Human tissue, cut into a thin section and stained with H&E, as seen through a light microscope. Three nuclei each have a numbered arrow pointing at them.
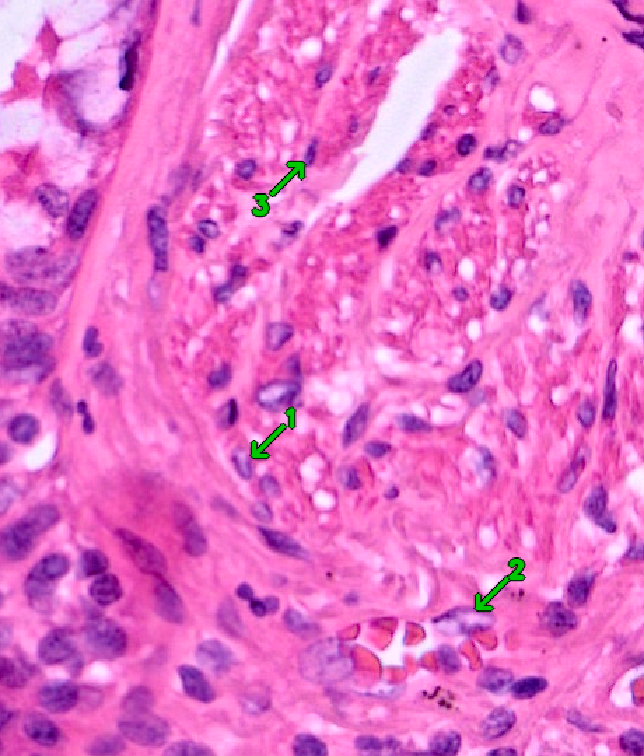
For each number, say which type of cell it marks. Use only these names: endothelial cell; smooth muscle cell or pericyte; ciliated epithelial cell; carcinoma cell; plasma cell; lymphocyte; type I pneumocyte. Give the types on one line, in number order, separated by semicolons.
smooth muscle cell or pericyte; endothelial cell; smooth muscle cell or pericyte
